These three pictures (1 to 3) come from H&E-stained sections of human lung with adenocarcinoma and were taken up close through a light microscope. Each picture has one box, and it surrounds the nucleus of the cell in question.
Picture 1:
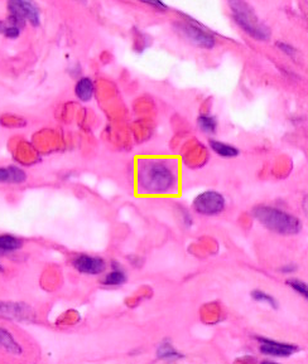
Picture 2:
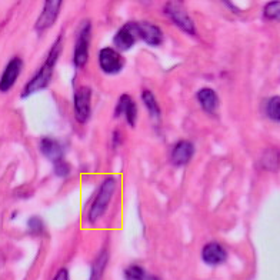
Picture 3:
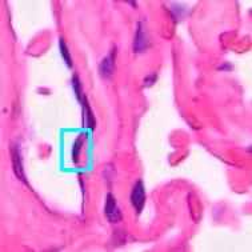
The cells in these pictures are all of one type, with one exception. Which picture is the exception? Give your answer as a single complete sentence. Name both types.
The others show endothelial cells, but picture 1 shows a “macrophage or monocyte”.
